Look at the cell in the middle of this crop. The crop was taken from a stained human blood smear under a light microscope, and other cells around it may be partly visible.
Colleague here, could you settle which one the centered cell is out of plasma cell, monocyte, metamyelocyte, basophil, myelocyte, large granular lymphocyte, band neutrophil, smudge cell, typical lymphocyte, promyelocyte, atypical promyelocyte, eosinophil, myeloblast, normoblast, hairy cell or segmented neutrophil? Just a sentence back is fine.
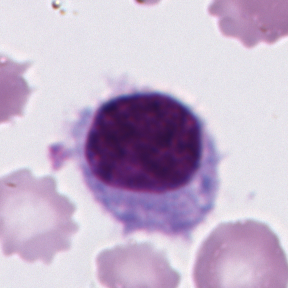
The middle of this crop holds a hairy cell.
